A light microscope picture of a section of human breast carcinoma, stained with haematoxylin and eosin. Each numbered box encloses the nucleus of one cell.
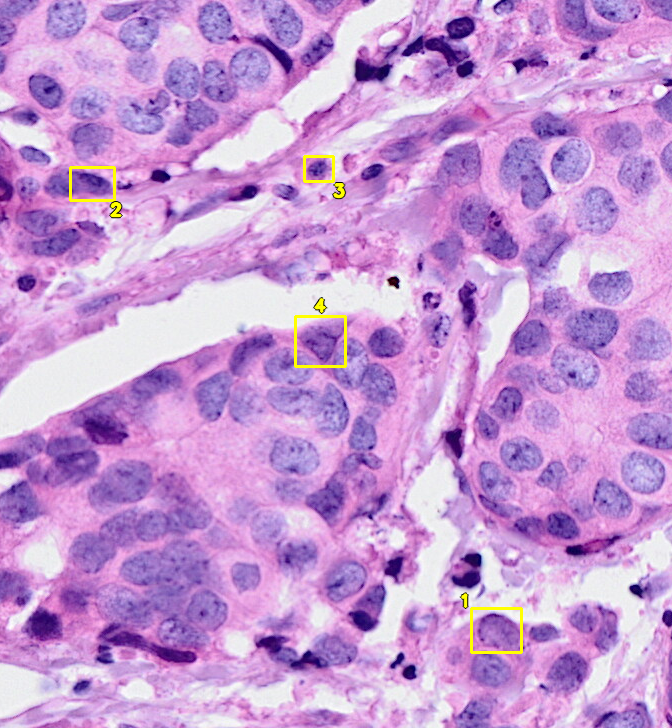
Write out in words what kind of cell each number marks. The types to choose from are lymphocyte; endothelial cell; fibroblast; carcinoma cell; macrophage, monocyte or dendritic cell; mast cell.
Cells 1, 2 and 4 are carcinoma cells. Cell 3 is a mast cell.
